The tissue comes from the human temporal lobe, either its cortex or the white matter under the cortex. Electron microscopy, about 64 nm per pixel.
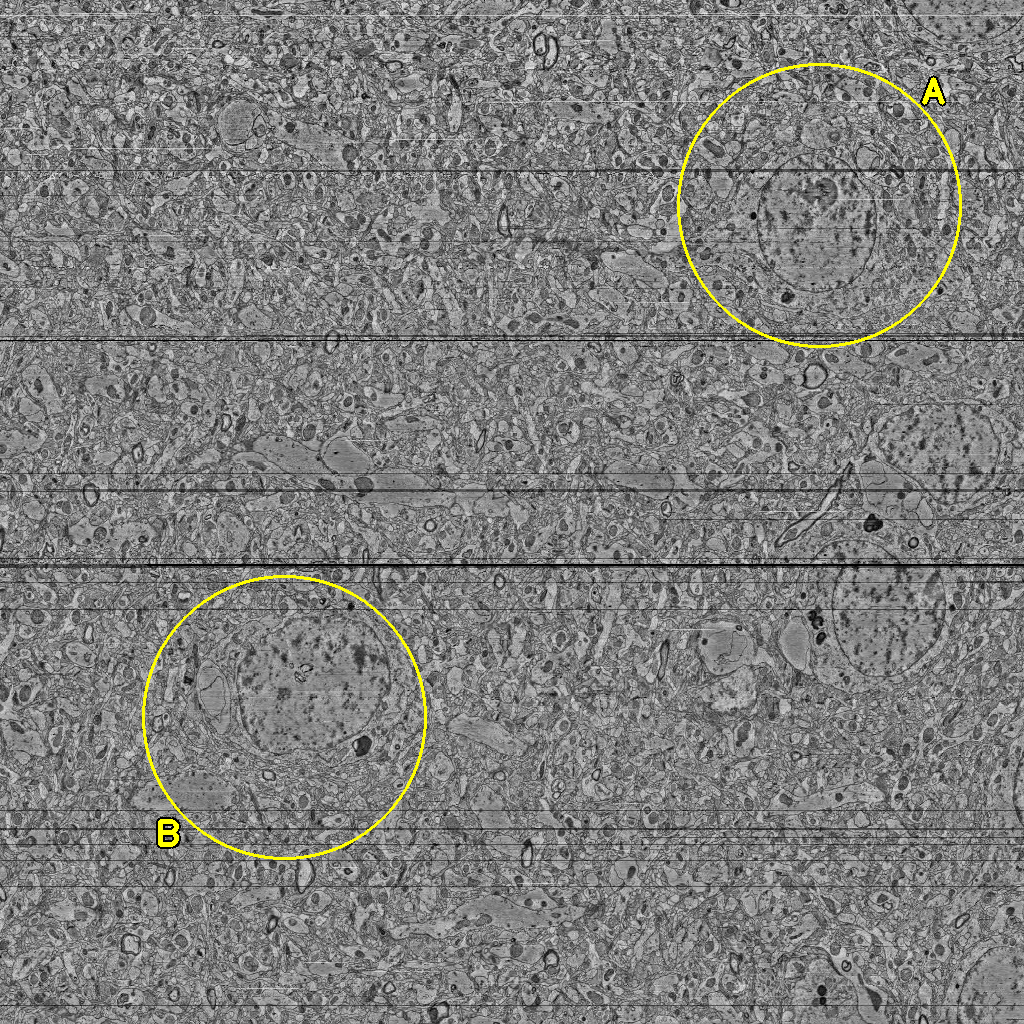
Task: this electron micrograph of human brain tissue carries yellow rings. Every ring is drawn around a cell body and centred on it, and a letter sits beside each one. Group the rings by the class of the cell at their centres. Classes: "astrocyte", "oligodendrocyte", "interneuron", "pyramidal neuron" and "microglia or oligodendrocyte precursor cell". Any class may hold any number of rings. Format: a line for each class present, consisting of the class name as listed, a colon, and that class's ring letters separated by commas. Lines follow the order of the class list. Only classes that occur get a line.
interneuron: B
pyramidal neuron: A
